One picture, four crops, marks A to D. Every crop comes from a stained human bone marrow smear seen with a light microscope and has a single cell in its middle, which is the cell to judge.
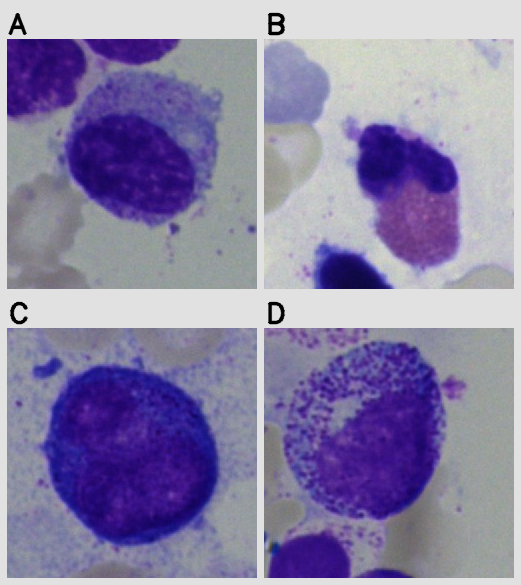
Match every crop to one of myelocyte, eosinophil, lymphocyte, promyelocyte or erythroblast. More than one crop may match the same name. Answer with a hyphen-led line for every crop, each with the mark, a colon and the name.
- A: myelocyte
- B: eosinophil
- C: promyelocyte
- D: myelocyte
